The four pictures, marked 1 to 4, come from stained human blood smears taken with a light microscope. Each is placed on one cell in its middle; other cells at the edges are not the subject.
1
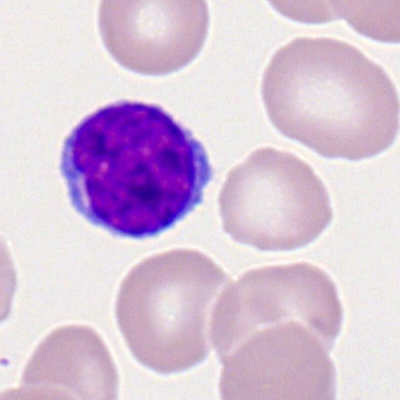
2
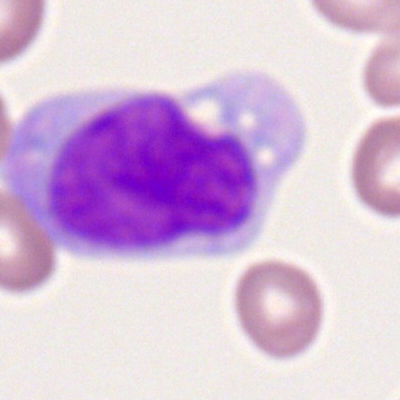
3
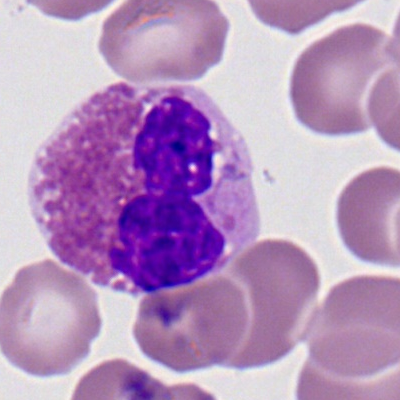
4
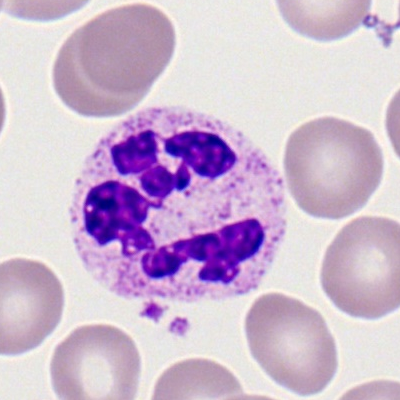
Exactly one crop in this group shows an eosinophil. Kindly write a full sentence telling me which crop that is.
When the crops are compared, crop 3 is the one showing an eosinophil.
